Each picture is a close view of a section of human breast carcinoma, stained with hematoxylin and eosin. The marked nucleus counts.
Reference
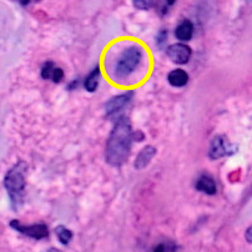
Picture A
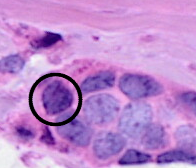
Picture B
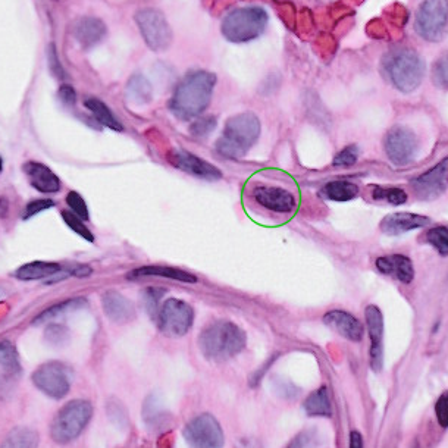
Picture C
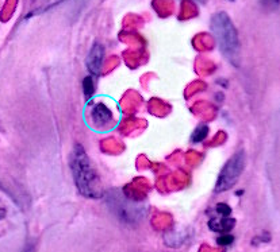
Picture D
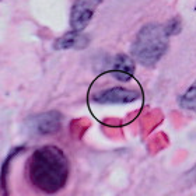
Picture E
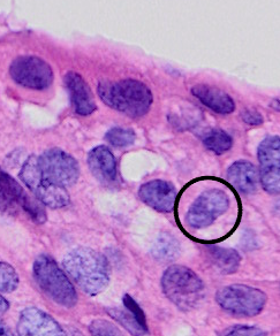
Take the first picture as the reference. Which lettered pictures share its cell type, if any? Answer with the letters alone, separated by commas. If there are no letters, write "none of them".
B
